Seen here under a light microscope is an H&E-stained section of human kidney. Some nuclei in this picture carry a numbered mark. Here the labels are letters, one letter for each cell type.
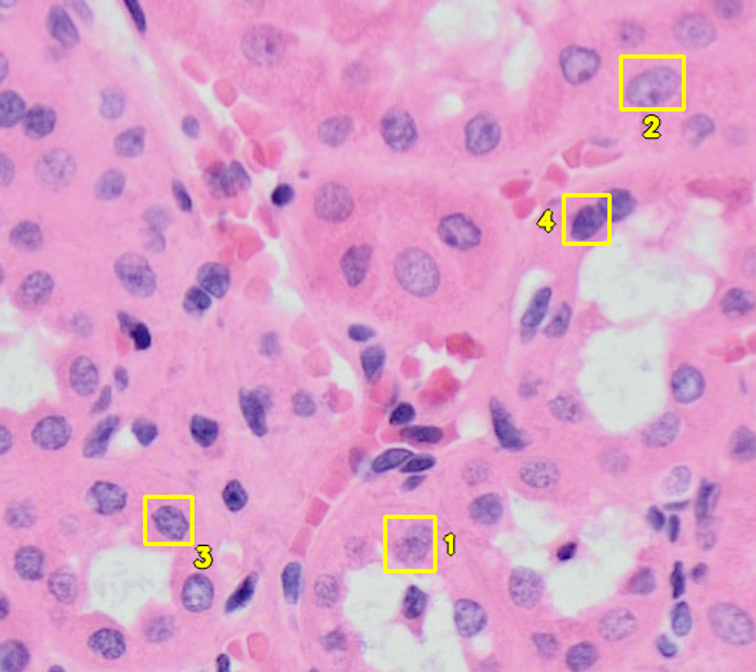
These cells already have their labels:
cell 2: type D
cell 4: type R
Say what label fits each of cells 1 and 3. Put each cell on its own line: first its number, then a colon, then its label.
1: type R
3: type R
